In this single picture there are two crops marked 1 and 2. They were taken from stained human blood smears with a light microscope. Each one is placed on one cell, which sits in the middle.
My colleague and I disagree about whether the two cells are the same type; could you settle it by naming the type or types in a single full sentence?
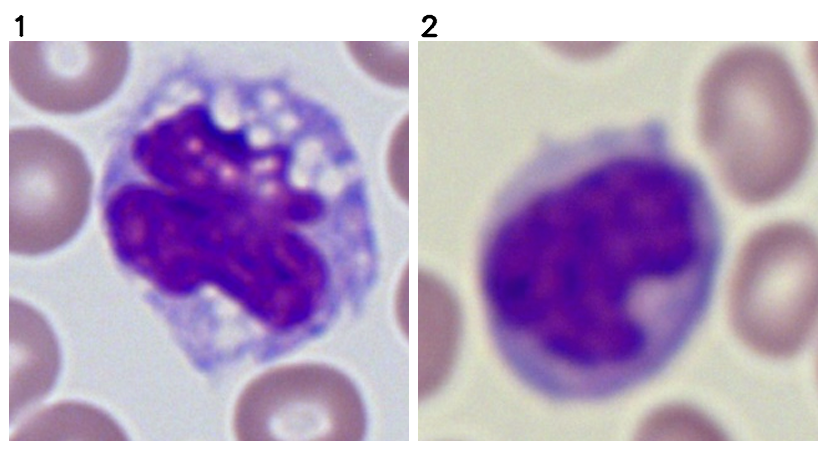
Yes, the two crops show monocytes, one cell each.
